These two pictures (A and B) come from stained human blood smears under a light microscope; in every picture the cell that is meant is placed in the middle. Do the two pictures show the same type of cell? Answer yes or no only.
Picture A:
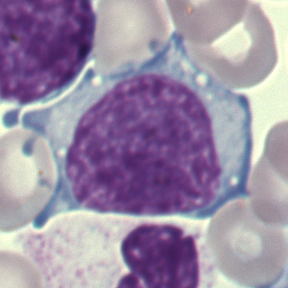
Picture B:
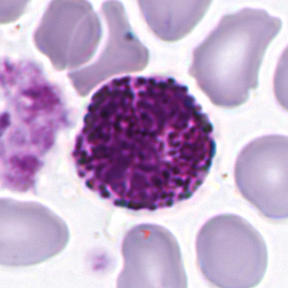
no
